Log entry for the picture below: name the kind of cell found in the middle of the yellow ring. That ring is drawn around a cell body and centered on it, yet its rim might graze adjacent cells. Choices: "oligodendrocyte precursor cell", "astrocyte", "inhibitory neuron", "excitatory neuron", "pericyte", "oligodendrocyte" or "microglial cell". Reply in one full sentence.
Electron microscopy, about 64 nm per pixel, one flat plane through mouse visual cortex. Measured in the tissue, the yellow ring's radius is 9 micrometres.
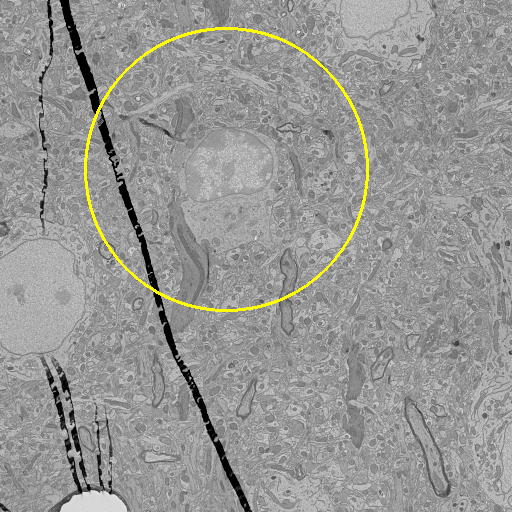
The cell in the middle of the yellow ring in this picture is an oligodendrocyte.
